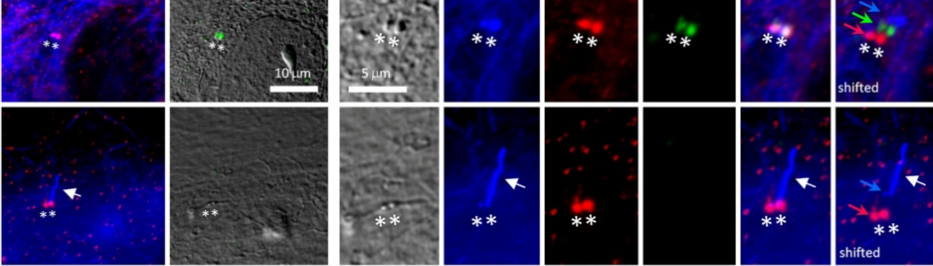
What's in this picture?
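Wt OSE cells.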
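In both rows a pair of small bright red dots, the centrioles, lies side by side in the cytoplasm. In the upper row small green foci lie over and next to the paired centrioles, and no rod projects from them. In the lower row the green foci are gone, and a single slender blue rod, a primary cilium, extends from beside the centriole pair.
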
